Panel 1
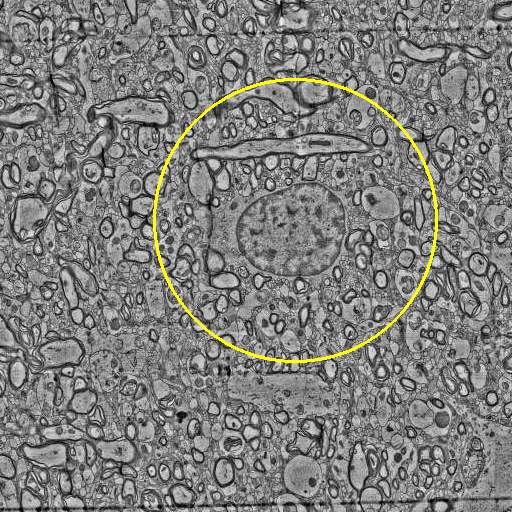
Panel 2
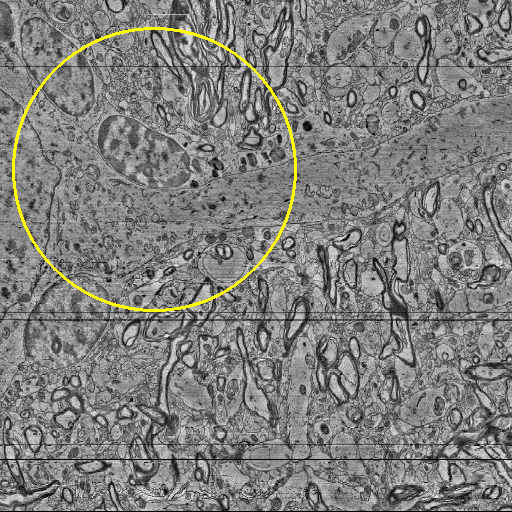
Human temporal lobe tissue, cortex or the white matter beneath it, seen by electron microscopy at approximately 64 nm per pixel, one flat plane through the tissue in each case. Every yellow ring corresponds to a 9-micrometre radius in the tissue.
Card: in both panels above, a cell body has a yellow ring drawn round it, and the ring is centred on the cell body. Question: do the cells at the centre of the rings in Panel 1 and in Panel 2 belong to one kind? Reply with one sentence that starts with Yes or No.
No, the cells centred in the rings of Panel 1 and Panel 2 are two kinds of cell.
